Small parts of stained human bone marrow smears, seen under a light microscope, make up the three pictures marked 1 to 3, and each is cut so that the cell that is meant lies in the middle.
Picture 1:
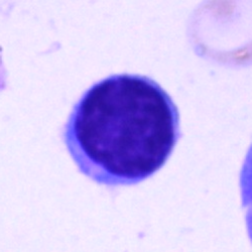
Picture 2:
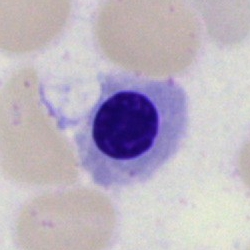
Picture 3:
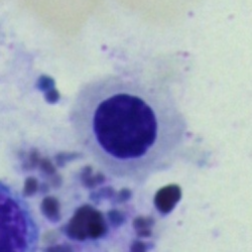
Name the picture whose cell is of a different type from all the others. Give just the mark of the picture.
1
